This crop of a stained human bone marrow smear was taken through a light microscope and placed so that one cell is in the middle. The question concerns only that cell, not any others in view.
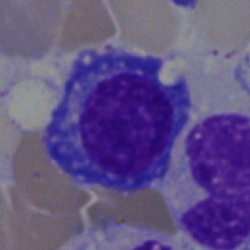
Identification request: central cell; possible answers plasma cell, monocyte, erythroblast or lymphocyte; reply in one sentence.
The centrally located cell in the crop is a plasma cell.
